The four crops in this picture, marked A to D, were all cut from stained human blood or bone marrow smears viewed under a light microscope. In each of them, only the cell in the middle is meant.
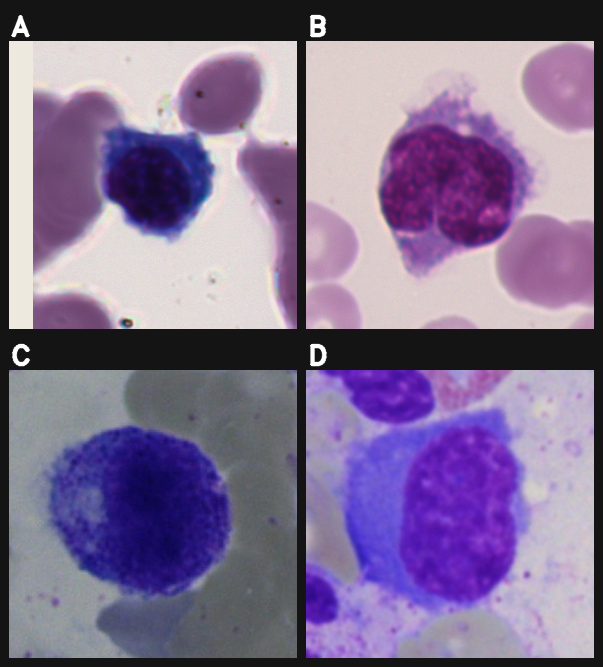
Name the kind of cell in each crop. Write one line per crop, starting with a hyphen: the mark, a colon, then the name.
- A: plasma cell
- B: monocyte
- C: promyelocyte
- D: plasma cell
